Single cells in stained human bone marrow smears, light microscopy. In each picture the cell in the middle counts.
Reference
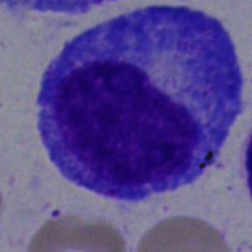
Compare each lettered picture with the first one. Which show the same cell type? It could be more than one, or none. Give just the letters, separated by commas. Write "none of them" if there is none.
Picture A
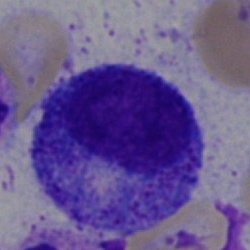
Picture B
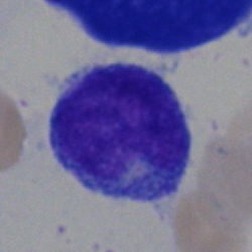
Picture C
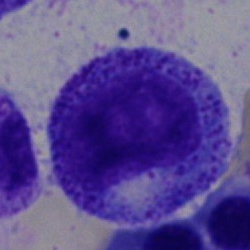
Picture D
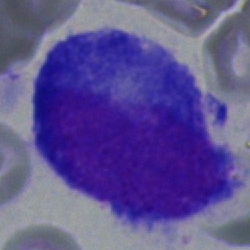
A, C, D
